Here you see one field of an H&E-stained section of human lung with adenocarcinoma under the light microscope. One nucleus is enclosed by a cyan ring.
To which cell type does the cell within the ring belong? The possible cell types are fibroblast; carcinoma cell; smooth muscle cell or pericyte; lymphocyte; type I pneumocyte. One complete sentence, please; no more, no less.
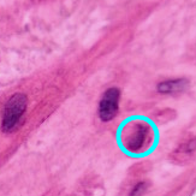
Placed in its cell category, the cell within the ring is a smooth muscle cell or pericyte.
